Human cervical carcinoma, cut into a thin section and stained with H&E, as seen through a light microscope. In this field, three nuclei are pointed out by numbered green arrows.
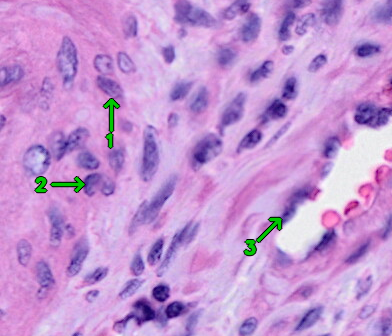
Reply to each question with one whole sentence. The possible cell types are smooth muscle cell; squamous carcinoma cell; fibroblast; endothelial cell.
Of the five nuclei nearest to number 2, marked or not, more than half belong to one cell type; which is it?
The majority of the five nuclei closest to number 2 belong to smooth muscle cells.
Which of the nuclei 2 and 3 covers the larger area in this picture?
Nucleus 3 covers more area, about 1.5 times as much as nucleus 2.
